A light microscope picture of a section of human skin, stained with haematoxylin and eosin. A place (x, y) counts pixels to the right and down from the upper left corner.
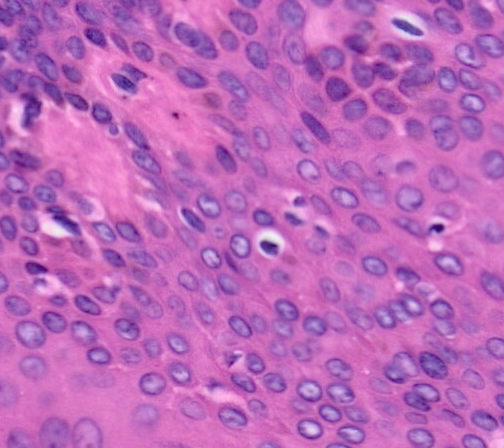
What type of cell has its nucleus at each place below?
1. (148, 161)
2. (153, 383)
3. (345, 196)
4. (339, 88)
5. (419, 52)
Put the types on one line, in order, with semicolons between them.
basal keratinocyte; suprabasal keratinocyte; suprabasal keratinocyte; basal keratinocyte; basal keratinocyte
